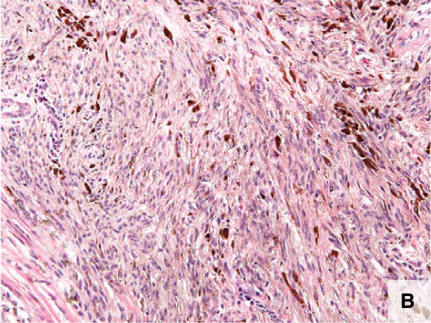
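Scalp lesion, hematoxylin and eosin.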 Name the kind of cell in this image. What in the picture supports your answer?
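Spindled melanocytes. Elongated spindle-shaped cells with slender nuclei. Cells run in bundles crossing one another. Scattered cells carry dark brown pigment.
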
